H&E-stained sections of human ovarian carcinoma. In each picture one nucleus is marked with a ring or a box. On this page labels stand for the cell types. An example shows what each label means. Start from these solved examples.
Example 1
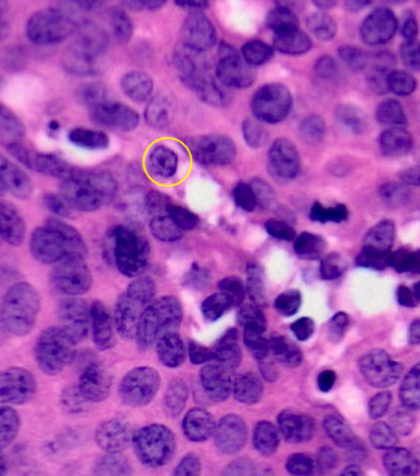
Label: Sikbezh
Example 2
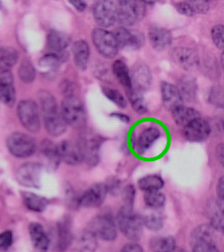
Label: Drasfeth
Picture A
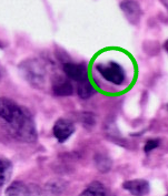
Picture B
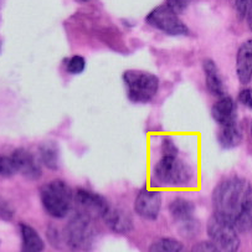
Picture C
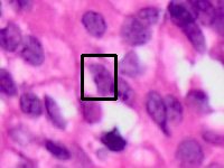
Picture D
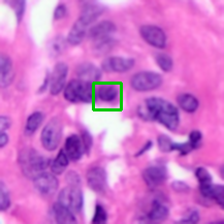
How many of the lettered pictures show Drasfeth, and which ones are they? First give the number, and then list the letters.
3: A, C, D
